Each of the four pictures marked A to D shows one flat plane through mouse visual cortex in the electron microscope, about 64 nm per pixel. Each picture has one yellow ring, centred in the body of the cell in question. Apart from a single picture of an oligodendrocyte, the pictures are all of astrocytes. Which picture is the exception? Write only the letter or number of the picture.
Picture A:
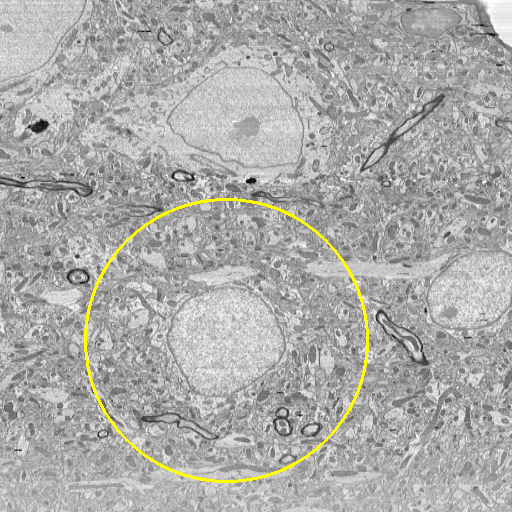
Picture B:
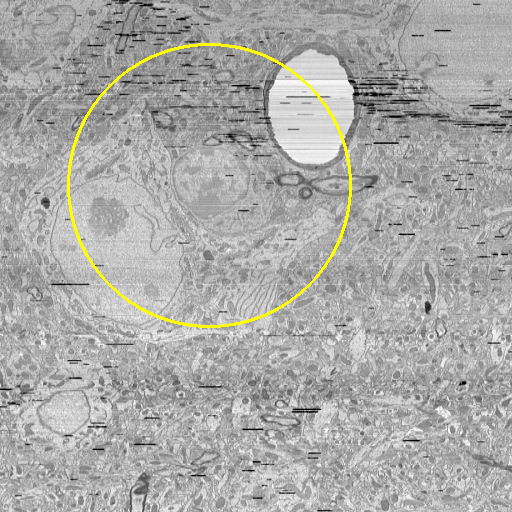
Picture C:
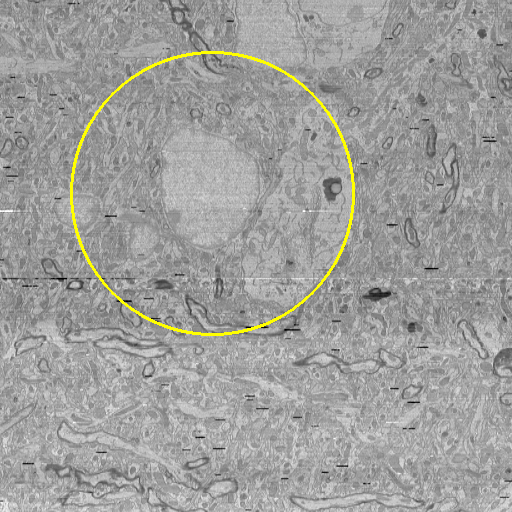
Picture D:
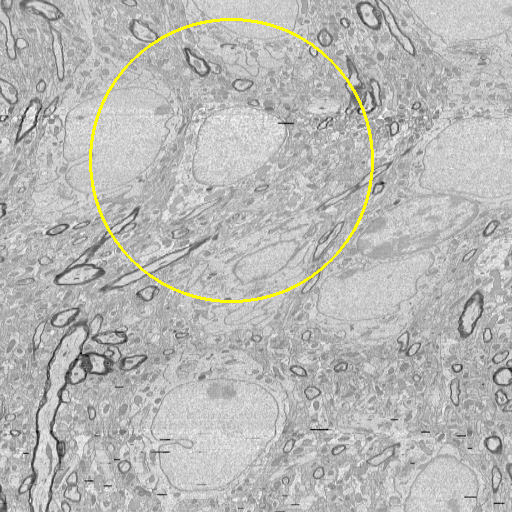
B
